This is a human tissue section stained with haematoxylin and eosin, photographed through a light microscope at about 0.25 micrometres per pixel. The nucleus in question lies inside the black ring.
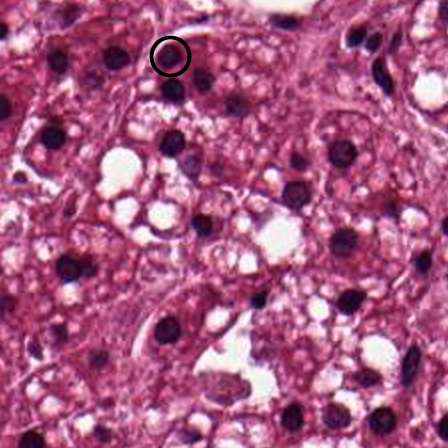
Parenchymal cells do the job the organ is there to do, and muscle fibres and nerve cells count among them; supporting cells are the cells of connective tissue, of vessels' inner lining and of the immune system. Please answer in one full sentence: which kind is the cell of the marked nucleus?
A parenchymal cell holds the marked nucleus, and that cell is an adrenal cortical cell.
